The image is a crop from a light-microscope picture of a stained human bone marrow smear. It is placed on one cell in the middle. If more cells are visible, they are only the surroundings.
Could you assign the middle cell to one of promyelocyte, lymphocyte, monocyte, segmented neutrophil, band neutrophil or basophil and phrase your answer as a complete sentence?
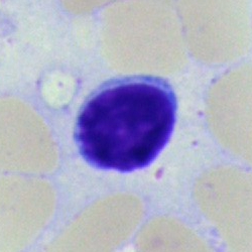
As for the central cell, it is a lymphocyte.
